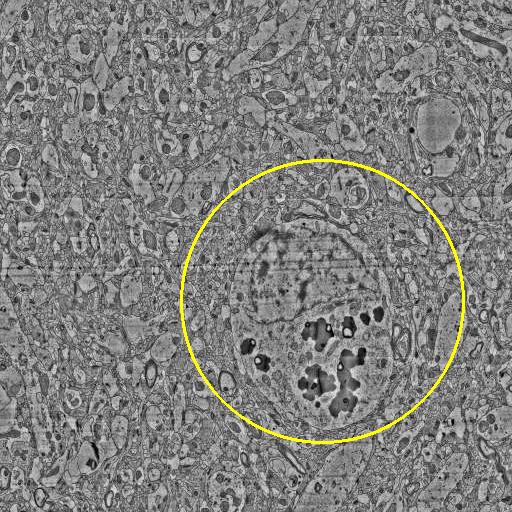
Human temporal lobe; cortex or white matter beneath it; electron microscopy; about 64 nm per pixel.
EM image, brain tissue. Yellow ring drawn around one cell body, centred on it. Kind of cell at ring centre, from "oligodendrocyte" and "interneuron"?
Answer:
interneuron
